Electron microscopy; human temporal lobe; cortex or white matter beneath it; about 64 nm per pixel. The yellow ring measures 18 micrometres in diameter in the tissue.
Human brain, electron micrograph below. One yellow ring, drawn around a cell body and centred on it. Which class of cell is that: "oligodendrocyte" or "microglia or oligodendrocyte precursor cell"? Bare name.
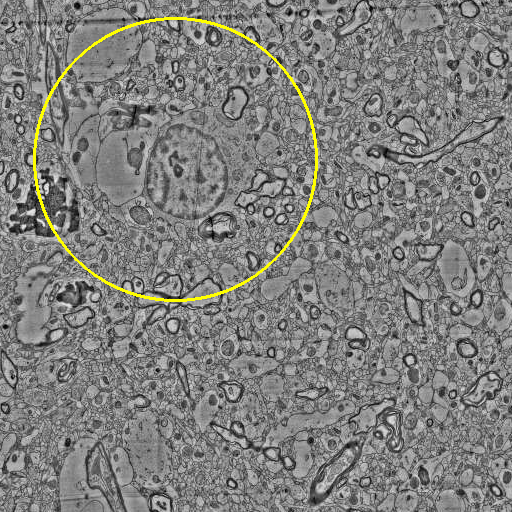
oligodendrocyte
